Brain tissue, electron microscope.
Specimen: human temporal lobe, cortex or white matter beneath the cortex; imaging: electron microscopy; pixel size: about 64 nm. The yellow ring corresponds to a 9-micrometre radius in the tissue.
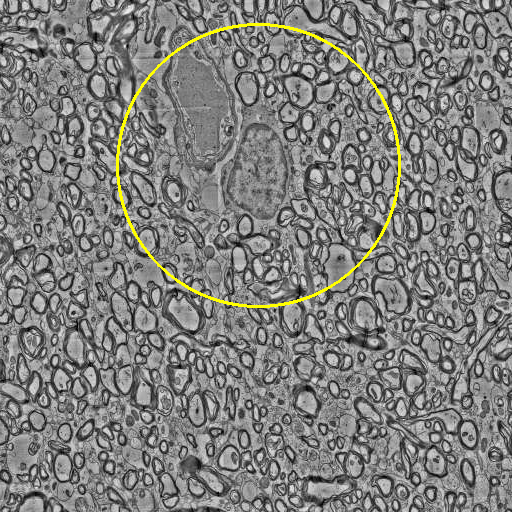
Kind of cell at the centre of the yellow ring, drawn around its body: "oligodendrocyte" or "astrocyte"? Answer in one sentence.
The ring's centre falls on an oligodendrocyte.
